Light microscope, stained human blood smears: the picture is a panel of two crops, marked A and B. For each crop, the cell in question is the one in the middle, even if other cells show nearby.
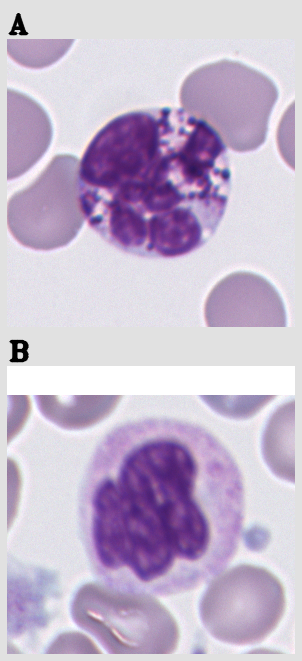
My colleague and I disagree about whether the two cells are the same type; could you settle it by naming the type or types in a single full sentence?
No, it is in crop A that a basophil is shown, and in crop B that a segmented neutrophil is shown.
